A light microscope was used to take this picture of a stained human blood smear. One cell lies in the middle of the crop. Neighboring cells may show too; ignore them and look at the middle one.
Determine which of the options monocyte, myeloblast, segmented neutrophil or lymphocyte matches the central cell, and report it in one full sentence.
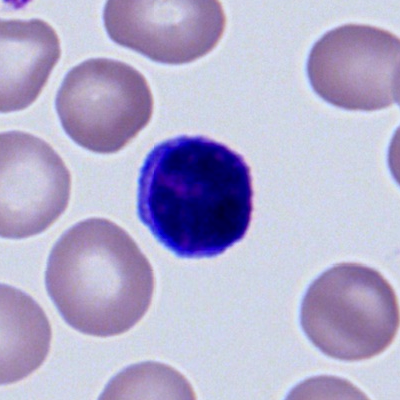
On this slide crop, the central cell is a lymphocyte.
